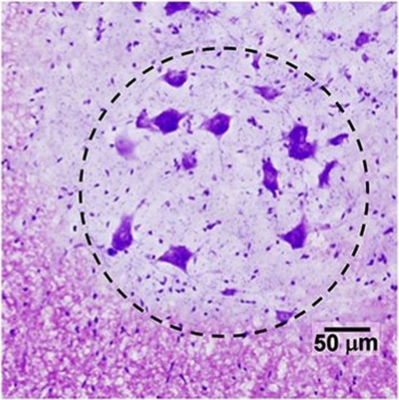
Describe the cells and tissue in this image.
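This is spinal cord grey matter in which a cluster of large motor neurons lies inside a dashed circle. The neurons have big, dark purple, polygonal to triangular cell bodies, some with short stout processes. Small dark nuclei of much smaller cells are scattered between them in a pale background. The large neurons are distributed across the whole circled area.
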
